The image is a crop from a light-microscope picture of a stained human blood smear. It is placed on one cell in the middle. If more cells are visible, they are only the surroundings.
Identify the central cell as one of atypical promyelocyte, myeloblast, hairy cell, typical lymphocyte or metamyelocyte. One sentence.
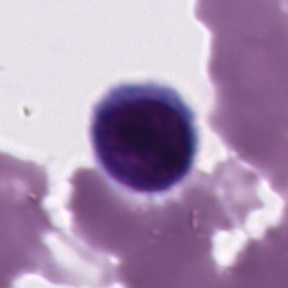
The cell in the middle of this crop is a hairy cell.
